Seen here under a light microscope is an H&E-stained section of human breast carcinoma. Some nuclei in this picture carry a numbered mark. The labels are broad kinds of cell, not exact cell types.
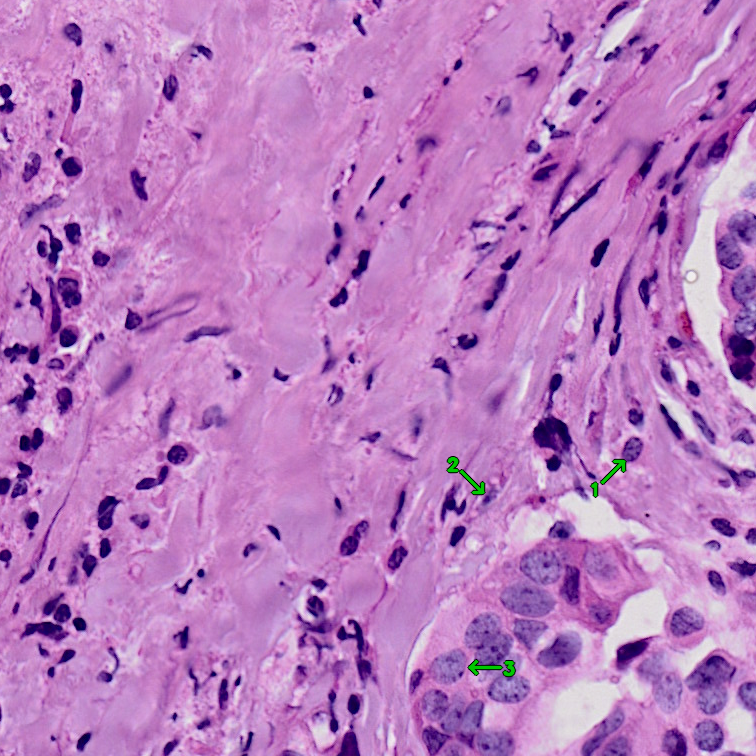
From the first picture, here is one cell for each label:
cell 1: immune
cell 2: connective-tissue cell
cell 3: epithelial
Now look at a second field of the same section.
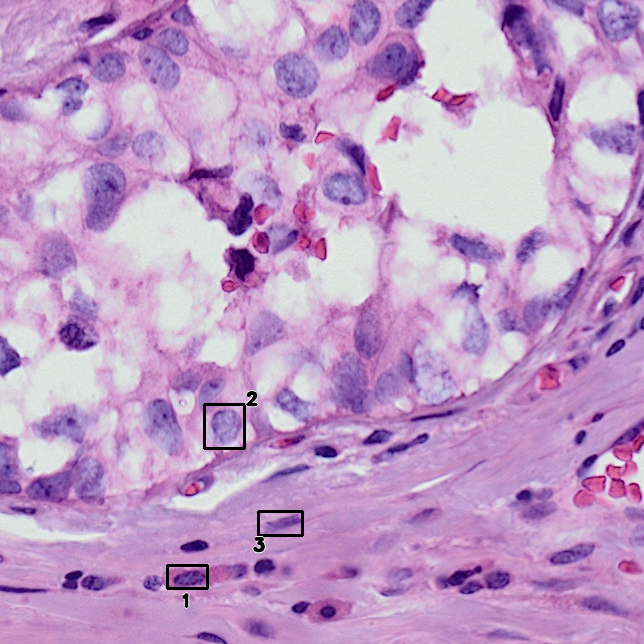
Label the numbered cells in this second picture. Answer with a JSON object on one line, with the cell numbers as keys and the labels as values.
{"1": "immune", "2": "epithelial", "3": "connective-tissue cell"}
